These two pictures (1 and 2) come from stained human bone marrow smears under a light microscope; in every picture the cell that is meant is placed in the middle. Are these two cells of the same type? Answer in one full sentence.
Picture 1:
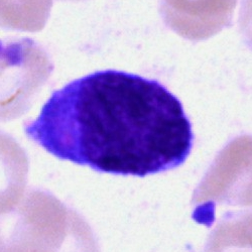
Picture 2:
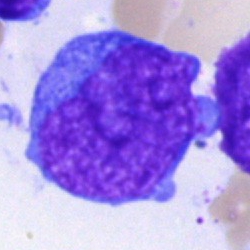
Yes, the two pictures both show blasts.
